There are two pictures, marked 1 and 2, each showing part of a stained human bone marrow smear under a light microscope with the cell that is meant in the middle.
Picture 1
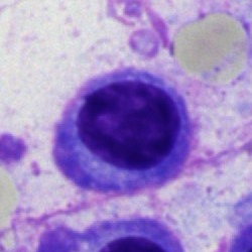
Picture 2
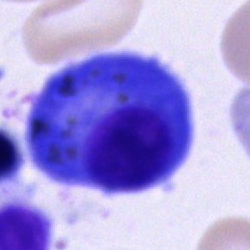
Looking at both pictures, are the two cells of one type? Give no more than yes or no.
yes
